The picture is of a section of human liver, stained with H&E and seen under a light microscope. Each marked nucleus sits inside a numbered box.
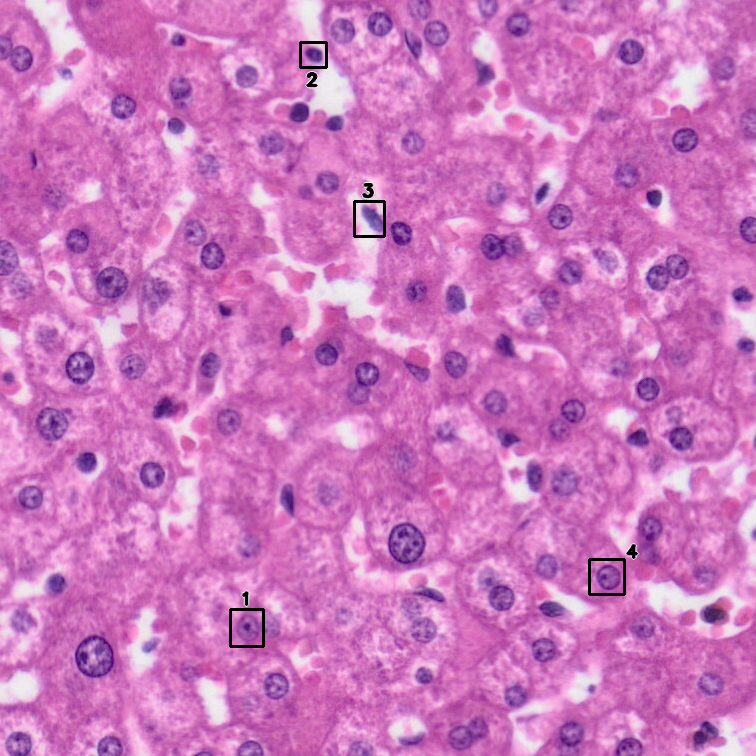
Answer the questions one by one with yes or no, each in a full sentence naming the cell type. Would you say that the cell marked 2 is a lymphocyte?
Yes, the cell with the number 2 is a lymphocyte.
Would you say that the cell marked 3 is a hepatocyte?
No, it is a lymphocyte, rather than a hepatocyte, that carries number 3.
